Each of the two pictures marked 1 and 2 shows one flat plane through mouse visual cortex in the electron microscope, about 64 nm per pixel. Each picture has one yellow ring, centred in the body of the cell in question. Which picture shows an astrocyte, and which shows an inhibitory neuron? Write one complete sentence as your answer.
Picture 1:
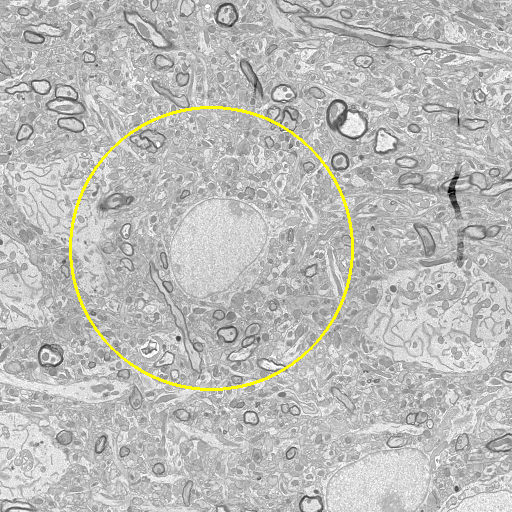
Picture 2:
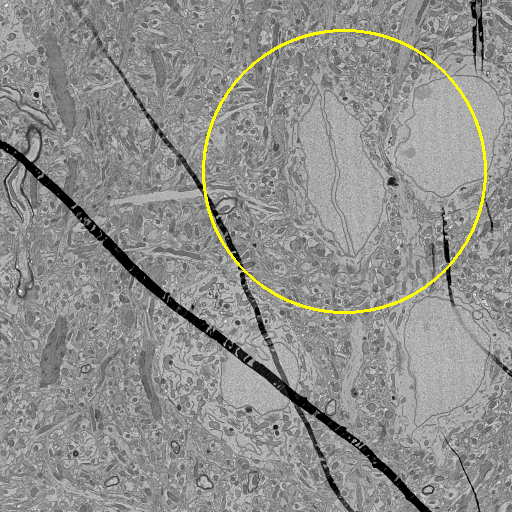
Picture 1 is of an astrocyte, and picture 2 is of an inhibitory neuron.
